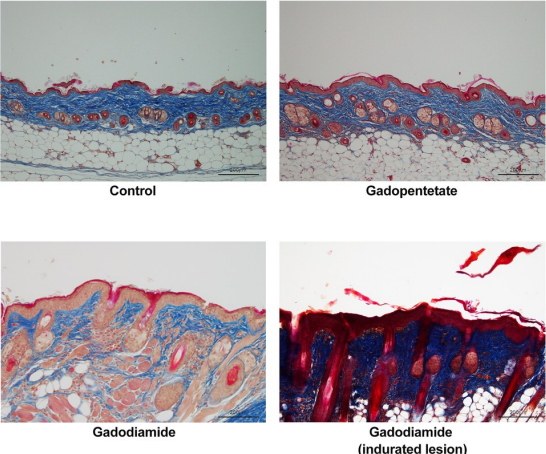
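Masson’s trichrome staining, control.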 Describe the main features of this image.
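Four sections of skin with a red-stained epidermis, a dermis of blue fibres with red hair follicles and pale glands, and clear fat cells below. In one section the blue fibres are loosened and interspersed with pale tan areas. In another the dermis is deep and densely blue, traversed by tall red vertical structures, with fat cells only at the base.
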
